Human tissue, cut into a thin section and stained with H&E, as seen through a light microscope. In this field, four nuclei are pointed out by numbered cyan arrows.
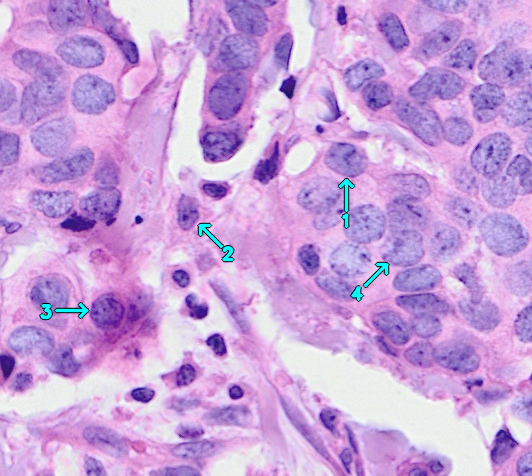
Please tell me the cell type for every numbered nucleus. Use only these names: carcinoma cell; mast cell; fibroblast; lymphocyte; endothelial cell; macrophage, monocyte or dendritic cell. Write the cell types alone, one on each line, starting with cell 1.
carcinoma cell
macrophage, monocyte or dendritic cell
carcinoma cell
carcinoma cell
